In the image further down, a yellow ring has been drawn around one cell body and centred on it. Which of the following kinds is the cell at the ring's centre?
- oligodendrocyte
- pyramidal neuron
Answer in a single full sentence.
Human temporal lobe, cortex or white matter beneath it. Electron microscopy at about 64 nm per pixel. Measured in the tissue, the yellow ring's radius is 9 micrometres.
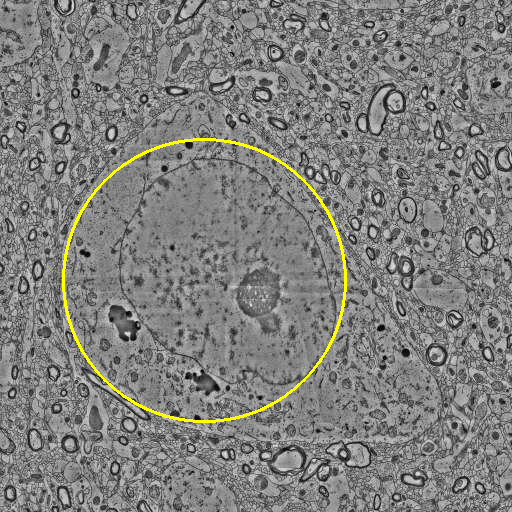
In the picture, the cell sitting at the centre of the yellow ring is a pyramidal neuron.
